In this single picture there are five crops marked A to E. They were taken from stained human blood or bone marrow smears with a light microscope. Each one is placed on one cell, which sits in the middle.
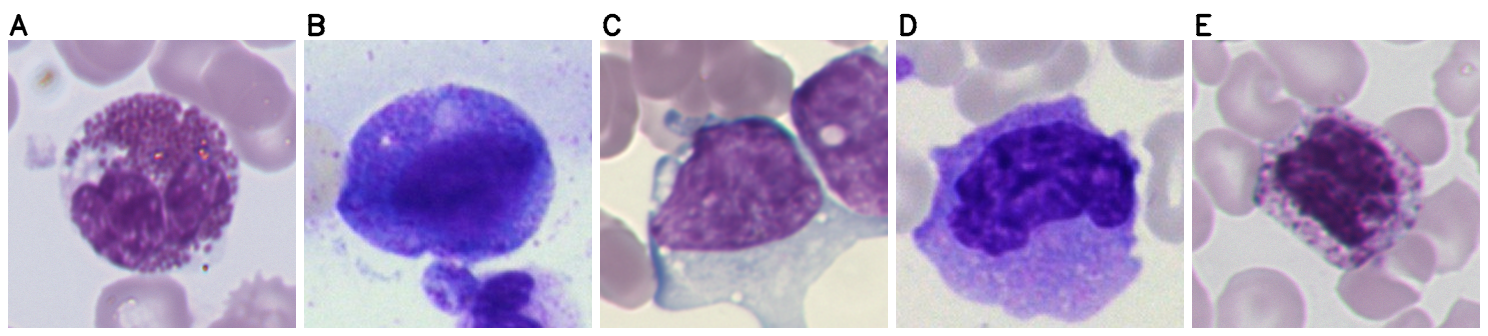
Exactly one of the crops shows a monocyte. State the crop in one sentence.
The one crop in the set with a monocyte is crop D.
